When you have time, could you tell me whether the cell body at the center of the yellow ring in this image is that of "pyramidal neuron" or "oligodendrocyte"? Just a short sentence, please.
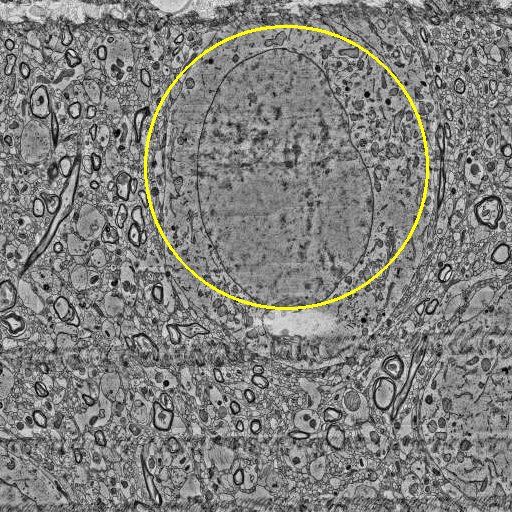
The cell body at the center of the ring is that of a pyramidal neuron.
